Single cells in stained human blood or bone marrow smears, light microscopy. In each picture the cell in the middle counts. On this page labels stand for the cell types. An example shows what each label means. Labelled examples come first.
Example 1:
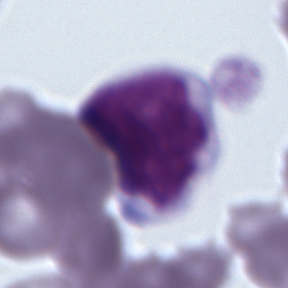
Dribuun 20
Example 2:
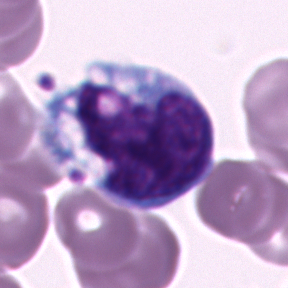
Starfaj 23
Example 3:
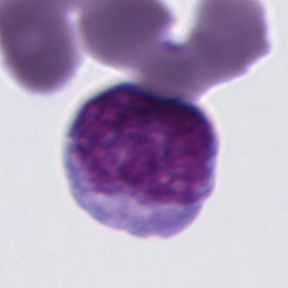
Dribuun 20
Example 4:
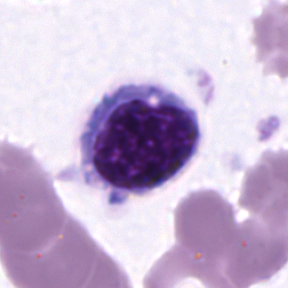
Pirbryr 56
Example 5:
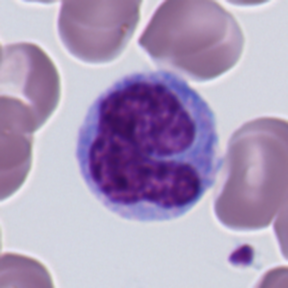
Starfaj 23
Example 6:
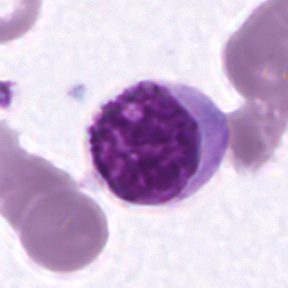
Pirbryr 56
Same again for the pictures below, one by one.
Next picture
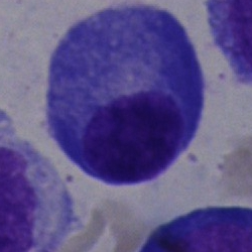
Pirbryr 56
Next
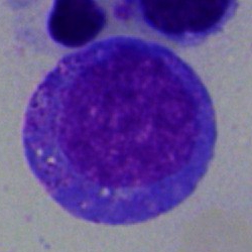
Dribuun 20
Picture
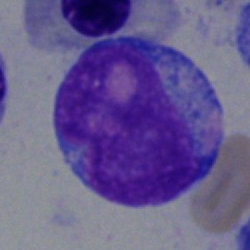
Dribuun 20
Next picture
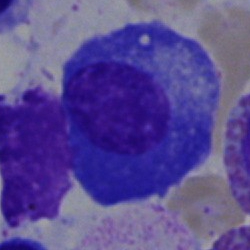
Pirbryr 56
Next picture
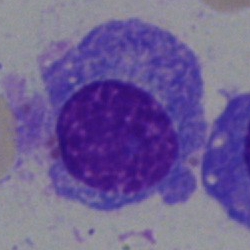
Pirbryr 56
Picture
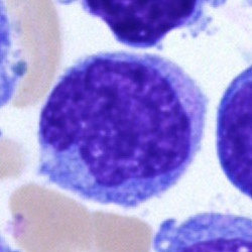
Starfaj 23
